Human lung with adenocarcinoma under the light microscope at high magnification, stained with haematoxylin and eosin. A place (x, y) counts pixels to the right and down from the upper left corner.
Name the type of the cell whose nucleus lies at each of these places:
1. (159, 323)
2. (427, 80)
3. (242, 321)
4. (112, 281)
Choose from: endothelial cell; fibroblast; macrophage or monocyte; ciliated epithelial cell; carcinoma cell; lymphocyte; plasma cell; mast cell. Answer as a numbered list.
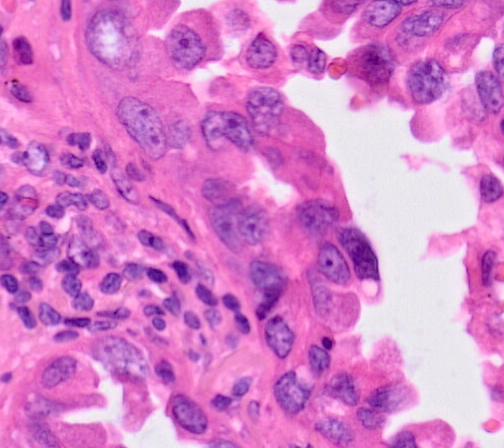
1. lymphocyte
2. carcinoma cell
3. lymphocyte
4. lymphocyte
